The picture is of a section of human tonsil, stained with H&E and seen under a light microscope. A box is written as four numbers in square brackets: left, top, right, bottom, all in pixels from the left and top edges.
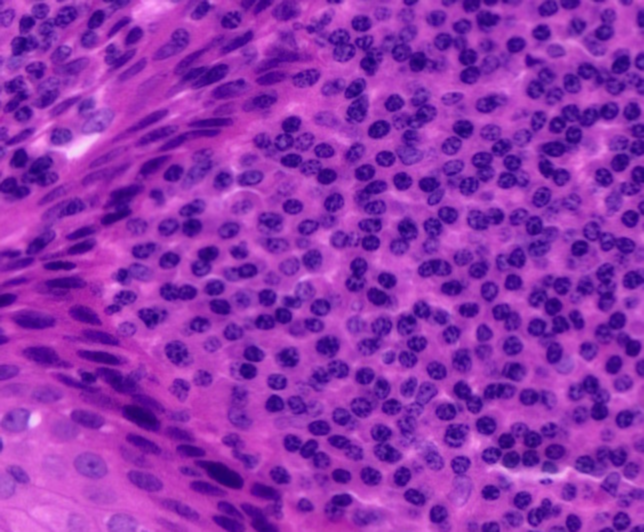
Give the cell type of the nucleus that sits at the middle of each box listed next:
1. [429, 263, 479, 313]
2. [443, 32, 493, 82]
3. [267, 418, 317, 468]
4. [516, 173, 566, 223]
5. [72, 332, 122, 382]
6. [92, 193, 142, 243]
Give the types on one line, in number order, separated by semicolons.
plasma cell; plasma cell; plasma cell; plasma cell; squamous epithelial cell; squamous epithelial cell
